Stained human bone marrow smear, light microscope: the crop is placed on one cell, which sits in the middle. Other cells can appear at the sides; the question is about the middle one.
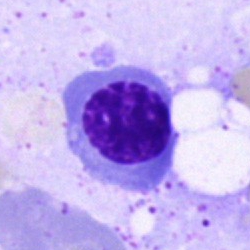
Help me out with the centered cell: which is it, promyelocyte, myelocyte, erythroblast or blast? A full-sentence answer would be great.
What the crop centres on is an erythroblast.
